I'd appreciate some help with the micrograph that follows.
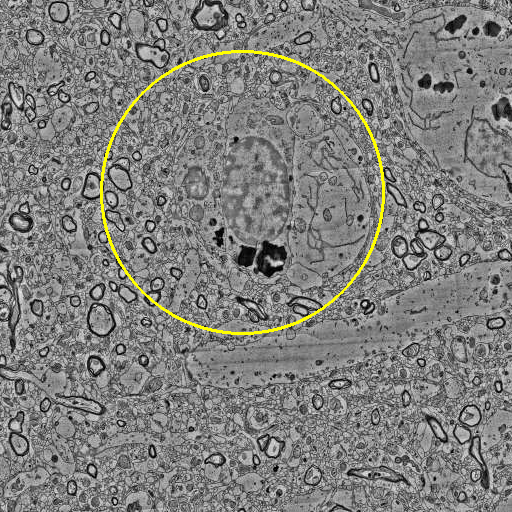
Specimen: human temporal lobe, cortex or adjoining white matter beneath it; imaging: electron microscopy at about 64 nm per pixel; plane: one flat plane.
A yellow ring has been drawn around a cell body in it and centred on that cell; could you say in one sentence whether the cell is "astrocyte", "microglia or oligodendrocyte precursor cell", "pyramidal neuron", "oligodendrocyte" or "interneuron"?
It is an oligodendrocyte at the centre of the ring.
